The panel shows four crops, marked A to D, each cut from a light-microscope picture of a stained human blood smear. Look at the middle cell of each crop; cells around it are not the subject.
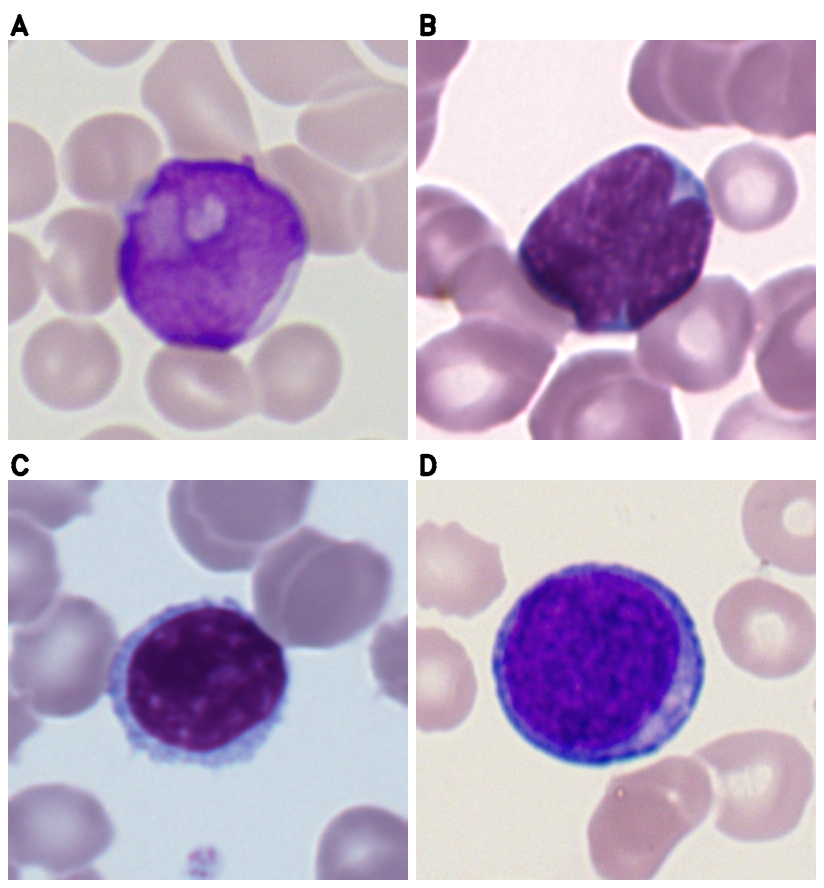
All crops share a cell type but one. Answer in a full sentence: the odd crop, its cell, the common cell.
Crop C breaks the pattern with a lymphocyte; all the others show blasts.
